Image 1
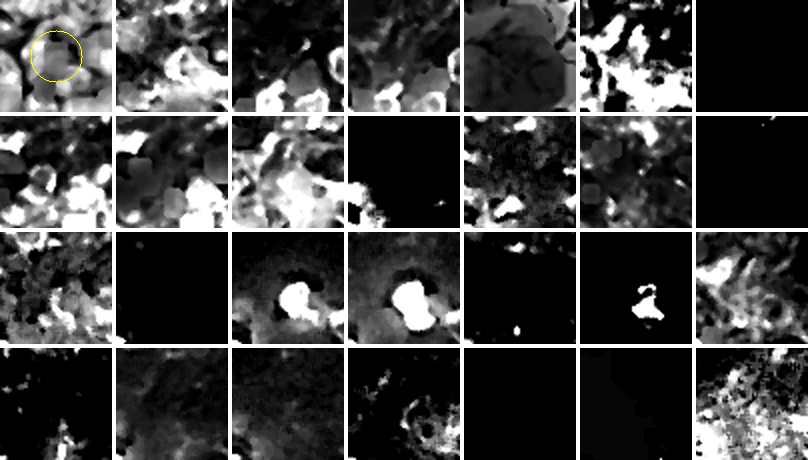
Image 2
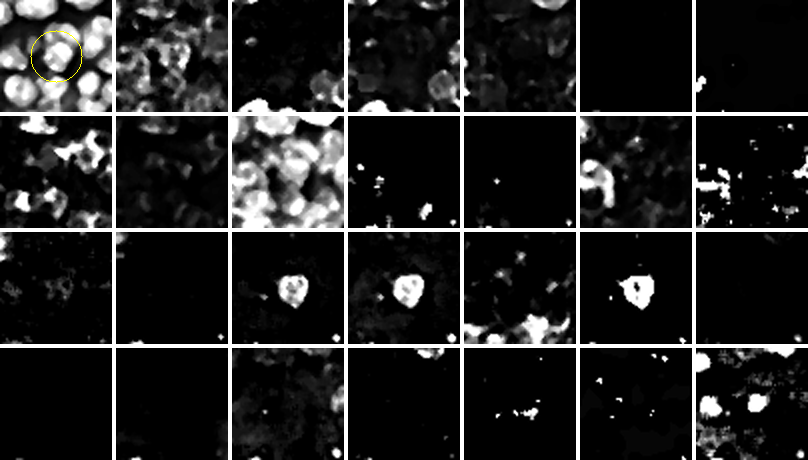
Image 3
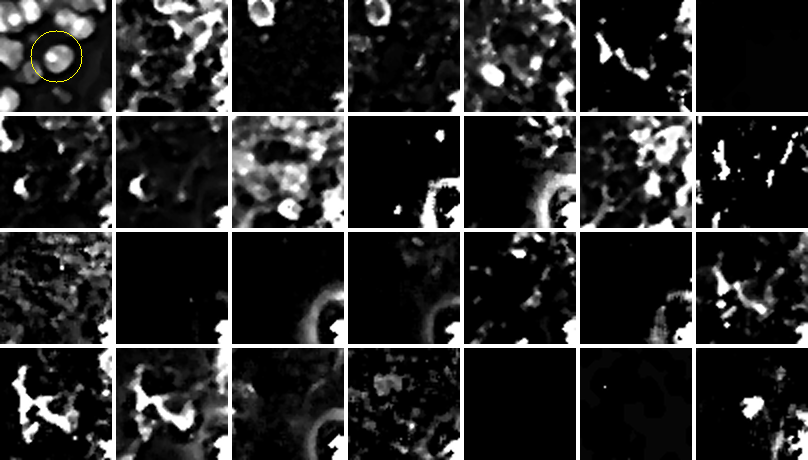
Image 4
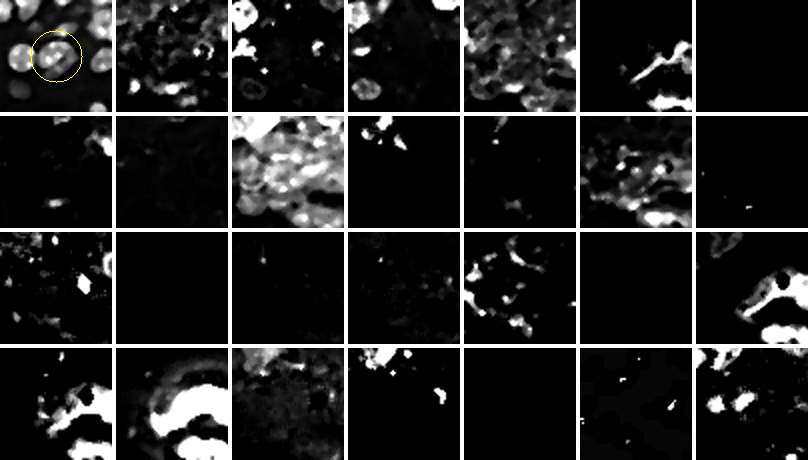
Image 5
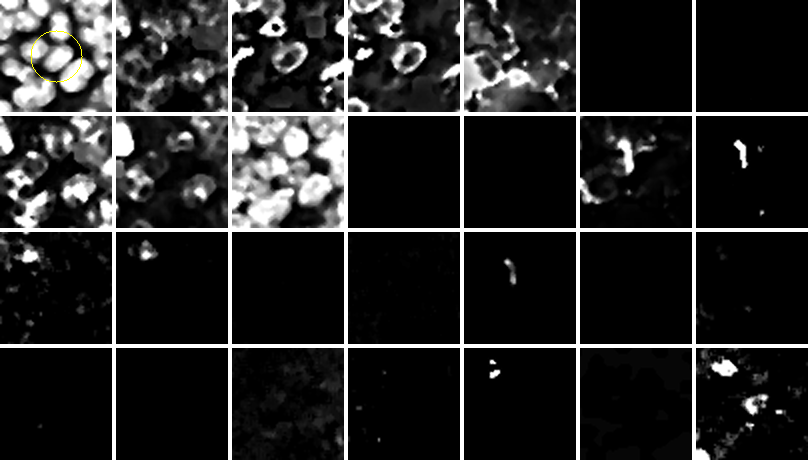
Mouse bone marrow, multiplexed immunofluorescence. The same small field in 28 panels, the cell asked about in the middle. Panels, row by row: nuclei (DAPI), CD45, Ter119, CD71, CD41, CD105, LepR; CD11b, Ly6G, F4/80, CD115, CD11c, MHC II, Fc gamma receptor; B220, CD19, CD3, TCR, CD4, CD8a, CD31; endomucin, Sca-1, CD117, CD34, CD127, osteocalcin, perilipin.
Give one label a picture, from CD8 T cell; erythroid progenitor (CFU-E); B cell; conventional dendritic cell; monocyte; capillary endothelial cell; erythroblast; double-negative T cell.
1. double-negative T cell
2. CD8 T cell
3. capillary endothelial cell
4. capillary endothelial cell
5. erythroblast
